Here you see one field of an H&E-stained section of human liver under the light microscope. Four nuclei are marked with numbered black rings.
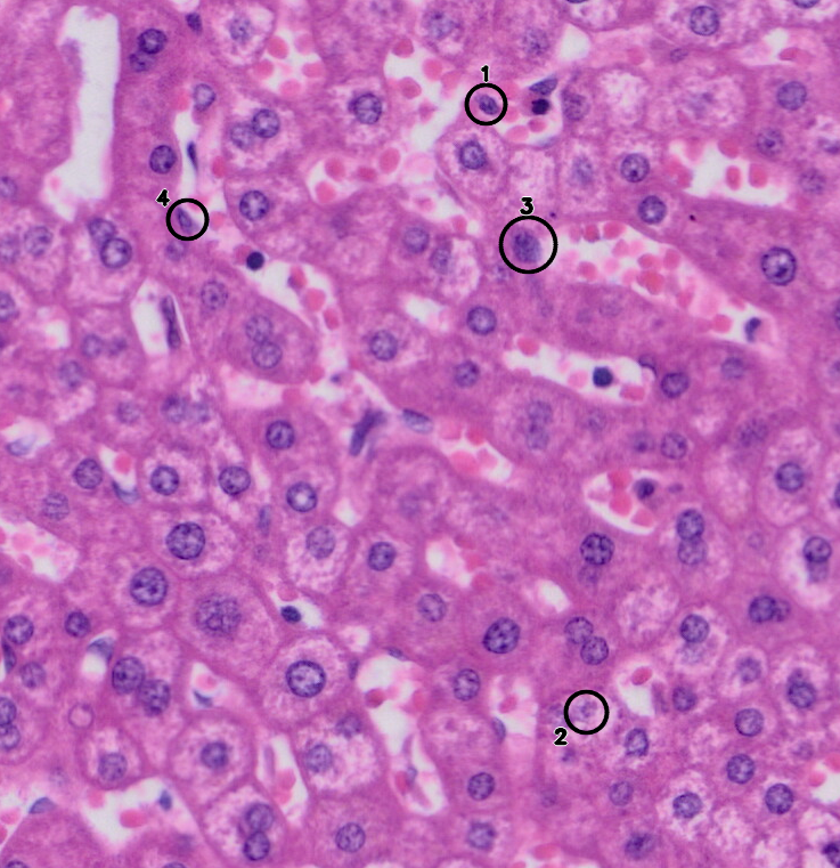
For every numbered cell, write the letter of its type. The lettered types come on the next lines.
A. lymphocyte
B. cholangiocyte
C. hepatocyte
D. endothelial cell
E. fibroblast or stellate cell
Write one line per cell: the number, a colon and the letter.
1: A
2: C
3: E
4: D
